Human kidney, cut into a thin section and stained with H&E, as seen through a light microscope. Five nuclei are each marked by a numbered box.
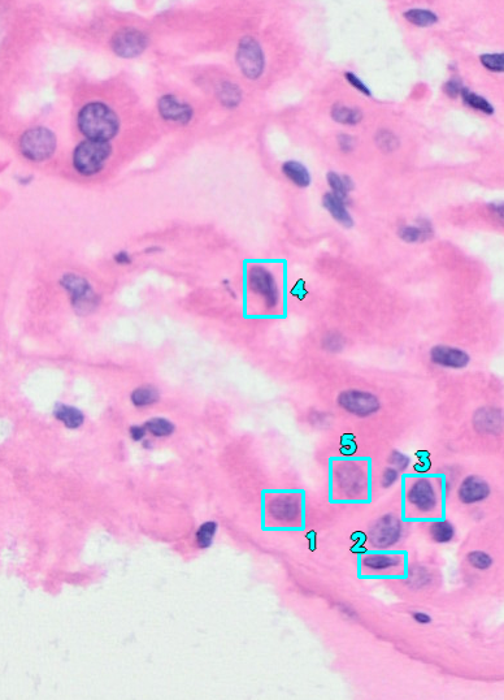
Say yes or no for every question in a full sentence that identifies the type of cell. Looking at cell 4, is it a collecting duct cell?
No, number 4 is not a collecting duct cell; it is a proximal tubule cell.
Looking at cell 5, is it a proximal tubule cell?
Yes, that is right: the cell labelled 5 is a proximal tubule cell.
